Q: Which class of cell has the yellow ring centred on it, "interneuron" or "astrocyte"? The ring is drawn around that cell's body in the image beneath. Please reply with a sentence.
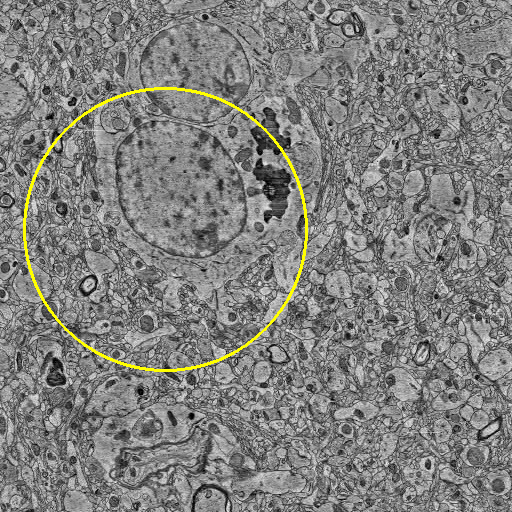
It is centred on an astrocyte.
